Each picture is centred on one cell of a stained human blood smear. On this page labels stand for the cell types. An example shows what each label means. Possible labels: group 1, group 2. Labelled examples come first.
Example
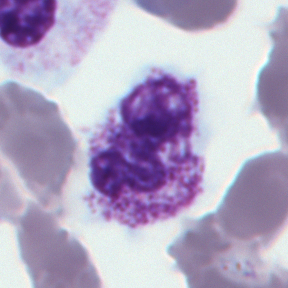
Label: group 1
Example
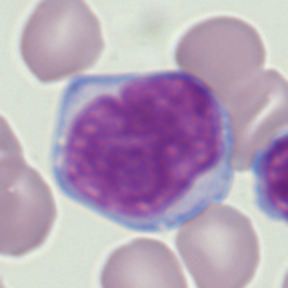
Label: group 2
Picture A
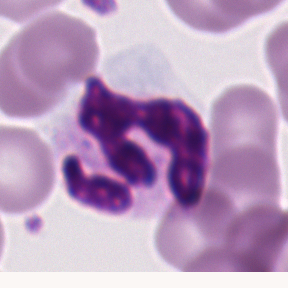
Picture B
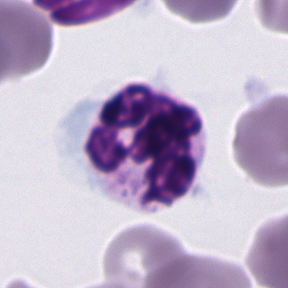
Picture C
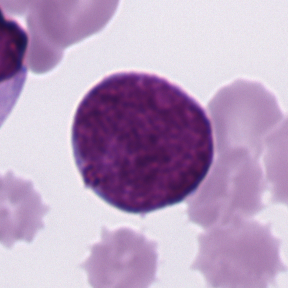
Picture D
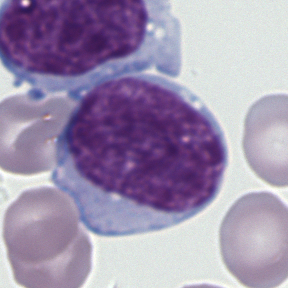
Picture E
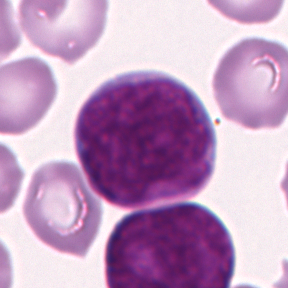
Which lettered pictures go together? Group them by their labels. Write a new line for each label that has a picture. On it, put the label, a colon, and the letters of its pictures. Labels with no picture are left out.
group 1: A, B
group 2: C, D, E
